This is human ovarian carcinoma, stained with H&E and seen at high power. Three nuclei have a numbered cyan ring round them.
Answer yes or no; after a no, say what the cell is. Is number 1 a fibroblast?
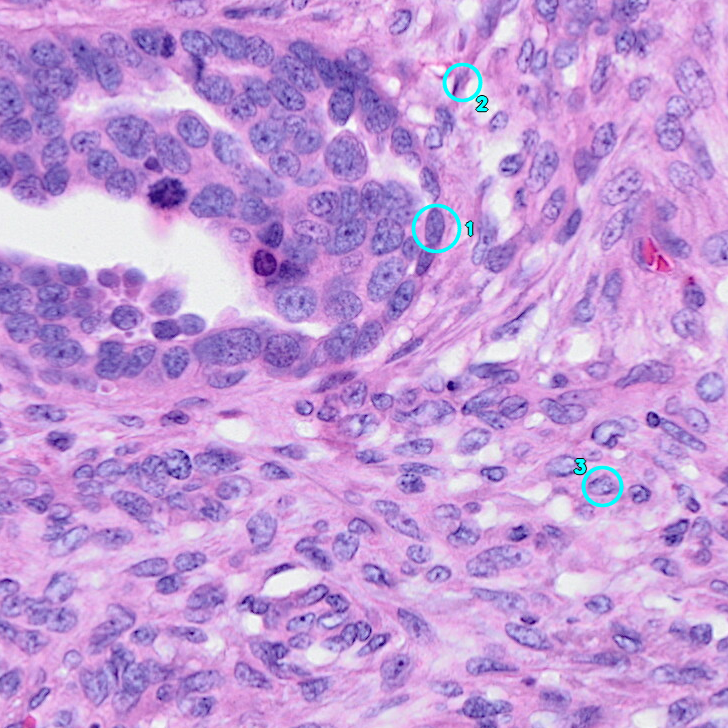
No, it is a carcinoma cell.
